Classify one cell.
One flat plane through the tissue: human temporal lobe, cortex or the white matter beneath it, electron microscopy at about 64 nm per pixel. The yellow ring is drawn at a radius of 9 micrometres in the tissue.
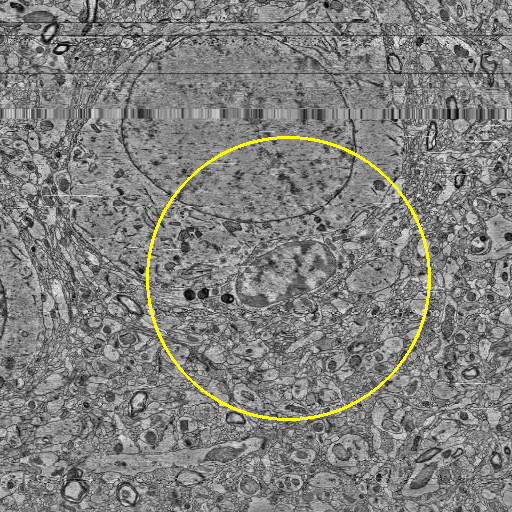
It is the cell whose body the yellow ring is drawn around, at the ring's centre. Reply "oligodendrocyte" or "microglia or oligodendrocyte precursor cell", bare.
microglia or oligodendrocyte precursor cell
